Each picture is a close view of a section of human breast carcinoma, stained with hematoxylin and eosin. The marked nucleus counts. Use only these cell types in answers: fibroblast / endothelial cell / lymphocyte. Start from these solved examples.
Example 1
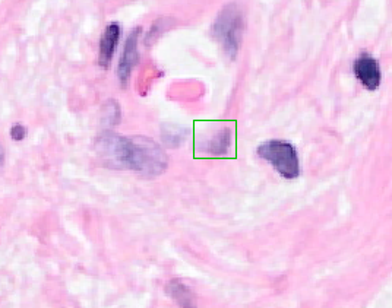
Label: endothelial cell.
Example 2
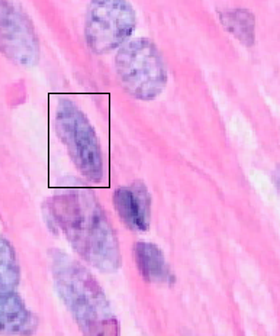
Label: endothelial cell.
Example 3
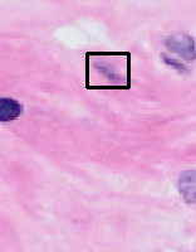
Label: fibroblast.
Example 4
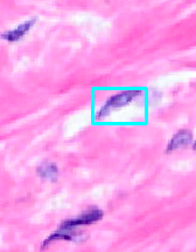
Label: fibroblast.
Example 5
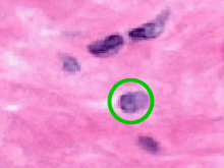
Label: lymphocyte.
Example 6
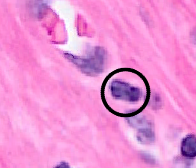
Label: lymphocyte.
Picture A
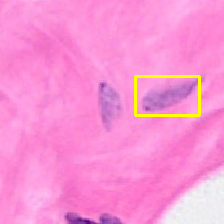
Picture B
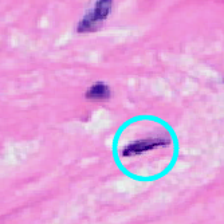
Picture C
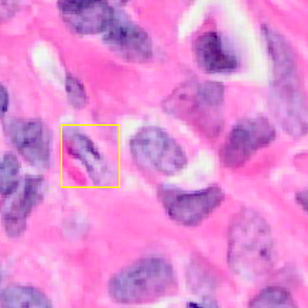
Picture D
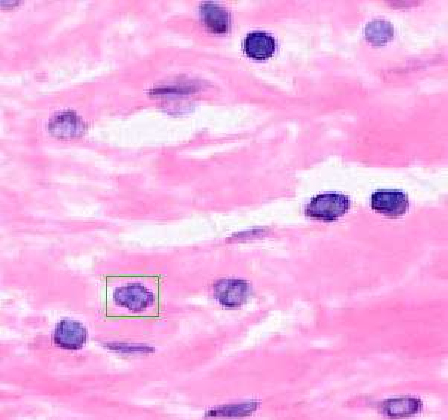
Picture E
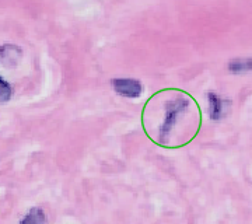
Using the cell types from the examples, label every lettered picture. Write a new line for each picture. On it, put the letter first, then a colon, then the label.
A: fibroblast.
B: fibroblast.
C: endothelial cell.
D: lymphocyte.
E: fibroblast.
